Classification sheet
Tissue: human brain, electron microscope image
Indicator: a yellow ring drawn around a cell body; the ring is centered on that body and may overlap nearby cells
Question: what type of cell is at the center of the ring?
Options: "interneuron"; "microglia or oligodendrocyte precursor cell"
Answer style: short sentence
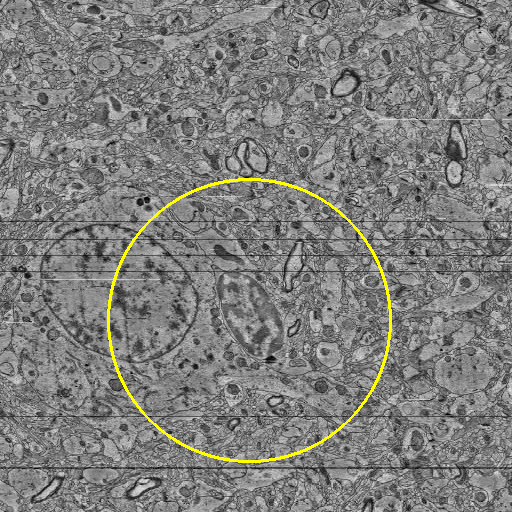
At the ring's center is a microglial cell or oligodendrocyte precursor cell.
